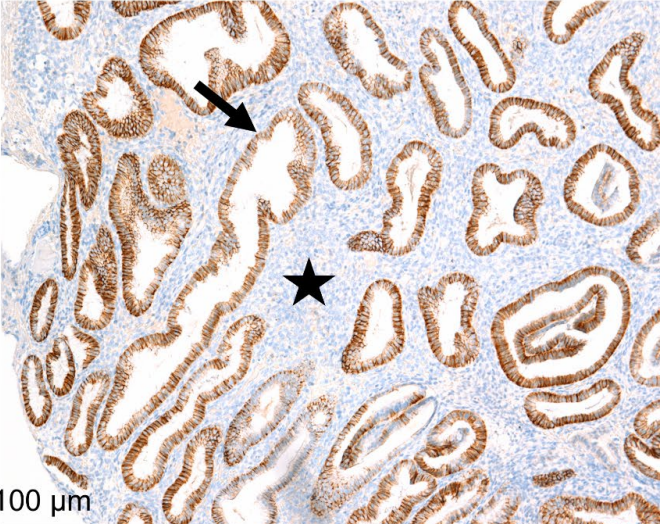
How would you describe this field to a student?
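Endometrium with many glands of varied, often elongated and folded profiles lying in a cellular stroma. The single layer of columnar epithelium lining each gland is stained brown along the cell borders. The stroma between the glands shows small blue nuclei without brown stain. Gland lumina are open and largely empty.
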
